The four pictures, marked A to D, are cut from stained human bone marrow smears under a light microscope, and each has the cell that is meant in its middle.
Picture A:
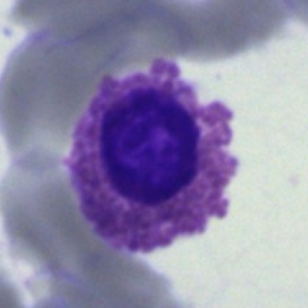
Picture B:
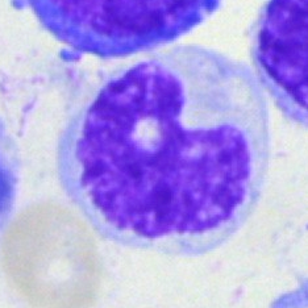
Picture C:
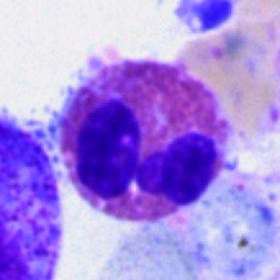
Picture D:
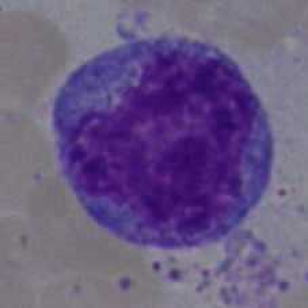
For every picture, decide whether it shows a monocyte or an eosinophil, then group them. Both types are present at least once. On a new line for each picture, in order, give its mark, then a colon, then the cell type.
A: eosinophil
B: monocyte
C: eosinophil
D: monocyte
